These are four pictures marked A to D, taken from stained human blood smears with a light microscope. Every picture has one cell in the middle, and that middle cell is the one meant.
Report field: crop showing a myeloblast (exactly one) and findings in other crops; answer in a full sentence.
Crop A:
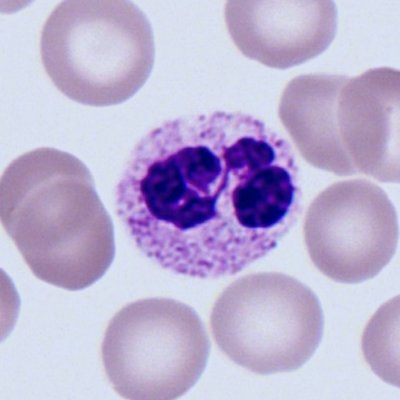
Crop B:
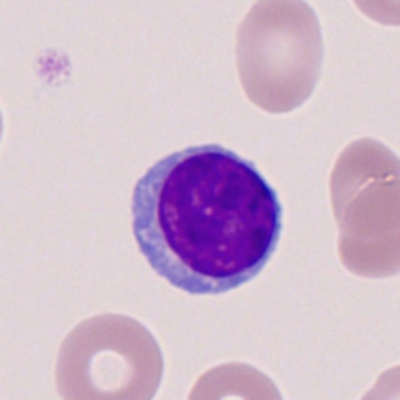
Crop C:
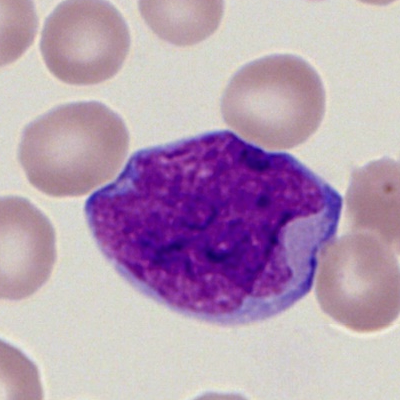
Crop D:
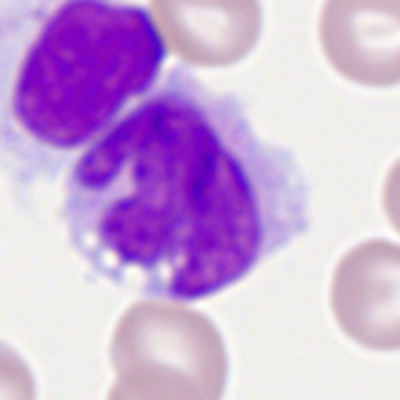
The middle of crop C is occupied by a myeloblast, while crop A is a segmented neutrophil, crop B is a lymphocyte and crop D is a monocyte.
